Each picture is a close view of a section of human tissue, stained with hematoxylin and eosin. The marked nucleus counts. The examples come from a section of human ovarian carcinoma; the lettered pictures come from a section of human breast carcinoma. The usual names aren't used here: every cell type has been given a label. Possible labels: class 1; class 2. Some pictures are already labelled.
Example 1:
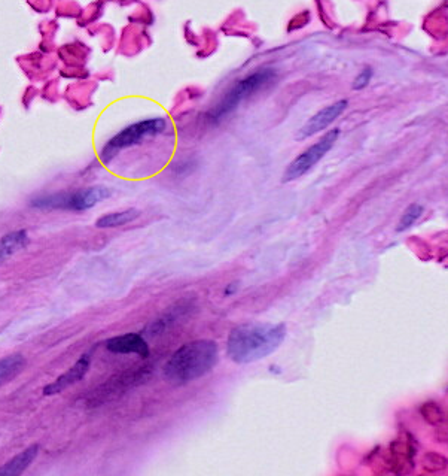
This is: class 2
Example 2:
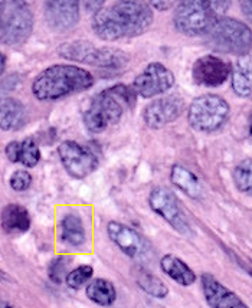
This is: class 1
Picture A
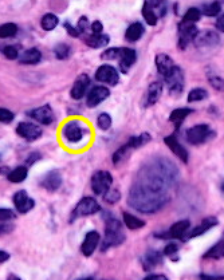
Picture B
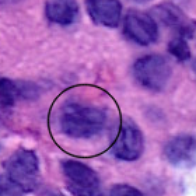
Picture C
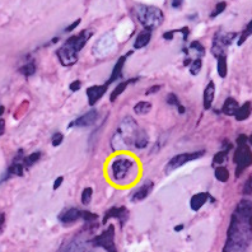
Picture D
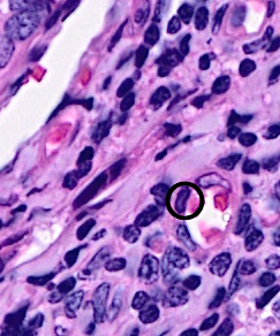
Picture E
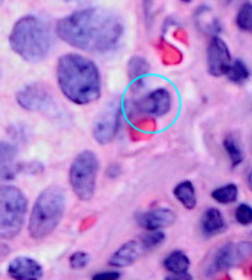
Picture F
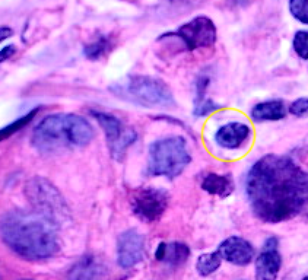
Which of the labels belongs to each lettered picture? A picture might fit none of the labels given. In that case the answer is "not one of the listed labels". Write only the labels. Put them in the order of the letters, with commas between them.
class 1, not one of the listed labels, class 2, class 2, class 2, class 1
